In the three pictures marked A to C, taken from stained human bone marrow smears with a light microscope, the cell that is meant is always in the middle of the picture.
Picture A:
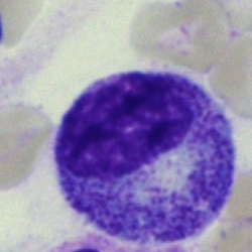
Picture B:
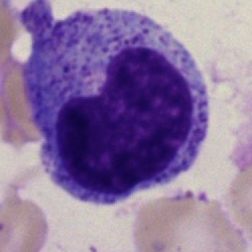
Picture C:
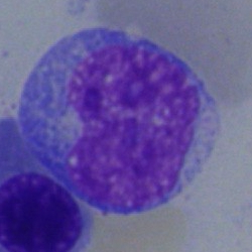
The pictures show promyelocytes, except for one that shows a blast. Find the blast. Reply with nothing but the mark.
C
